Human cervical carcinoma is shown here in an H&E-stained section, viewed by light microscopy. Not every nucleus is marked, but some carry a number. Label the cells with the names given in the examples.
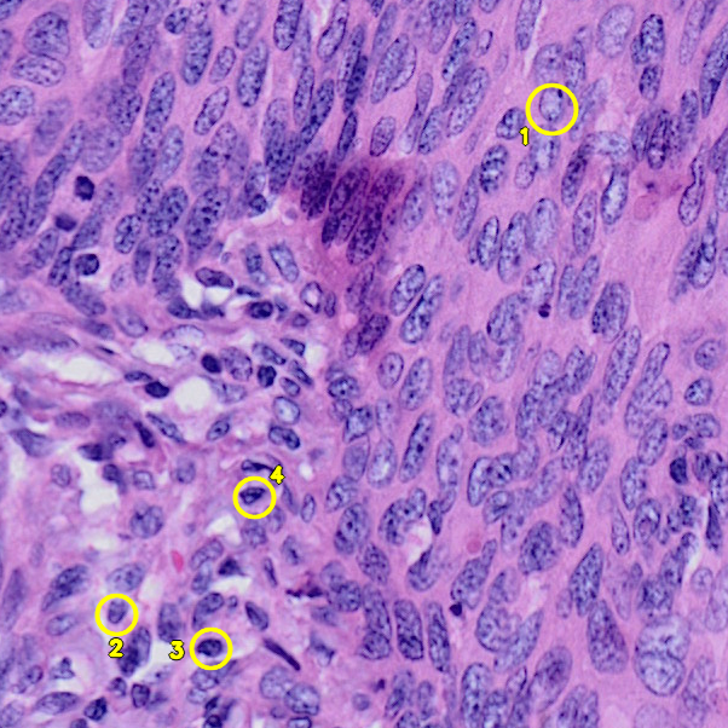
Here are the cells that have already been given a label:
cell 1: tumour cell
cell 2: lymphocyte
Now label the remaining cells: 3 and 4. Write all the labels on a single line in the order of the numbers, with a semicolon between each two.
lymphocyte; lymphocyte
